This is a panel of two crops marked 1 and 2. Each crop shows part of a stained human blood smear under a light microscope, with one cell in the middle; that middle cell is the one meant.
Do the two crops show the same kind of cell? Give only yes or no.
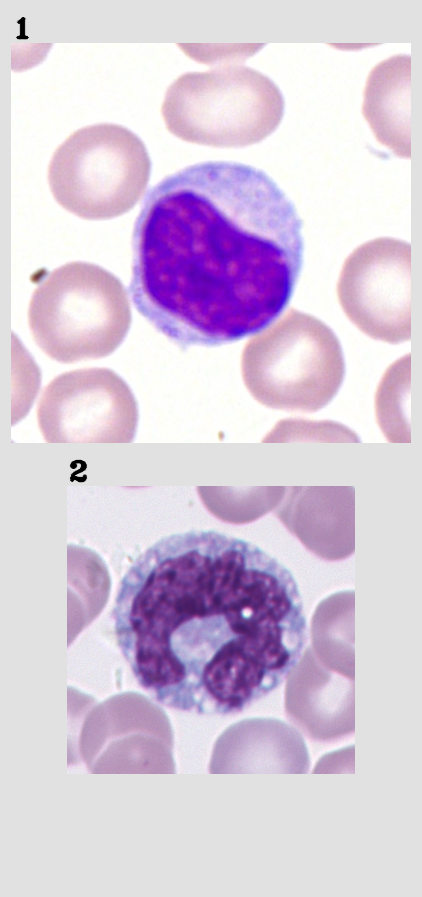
no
